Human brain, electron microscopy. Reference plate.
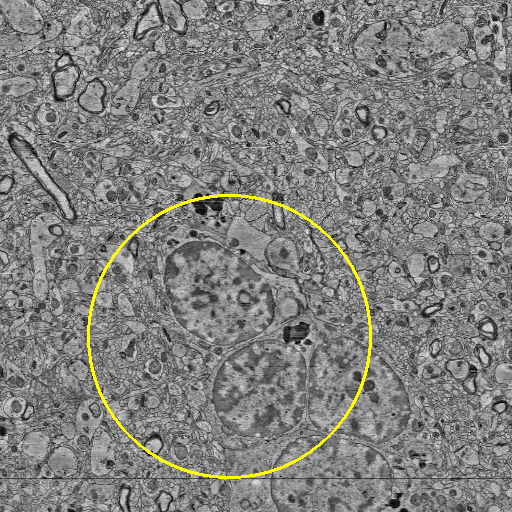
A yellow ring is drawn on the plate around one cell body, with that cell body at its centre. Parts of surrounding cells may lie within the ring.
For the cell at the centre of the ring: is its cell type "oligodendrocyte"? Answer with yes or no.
No, its cell type is another one.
